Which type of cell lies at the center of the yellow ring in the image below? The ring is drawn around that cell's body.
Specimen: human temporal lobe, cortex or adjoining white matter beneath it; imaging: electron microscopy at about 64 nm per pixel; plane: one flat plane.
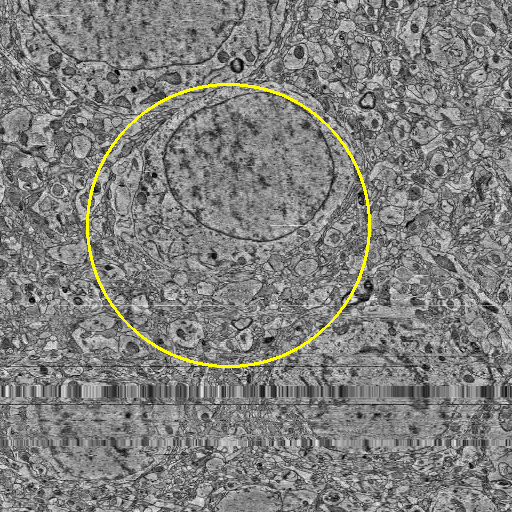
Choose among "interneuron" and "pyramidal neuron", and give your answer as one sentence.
The cell body at the center belongs to a pyramidal neuron.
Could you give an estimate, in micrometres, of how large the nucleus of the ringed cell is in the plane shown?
The nucleus is approximately 10 micrometers across in this plane.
